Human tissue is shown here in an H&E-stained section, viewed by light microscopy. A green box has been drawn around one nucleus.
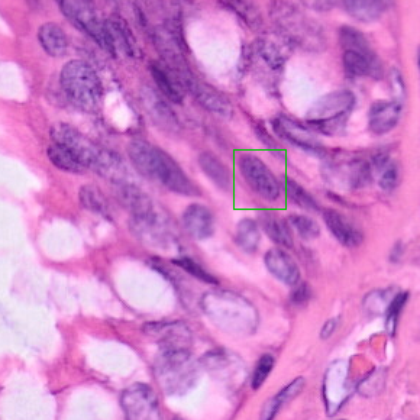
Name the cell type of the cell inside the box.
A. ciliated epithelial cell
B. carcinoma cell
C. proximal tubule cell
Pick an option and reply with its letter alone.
A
